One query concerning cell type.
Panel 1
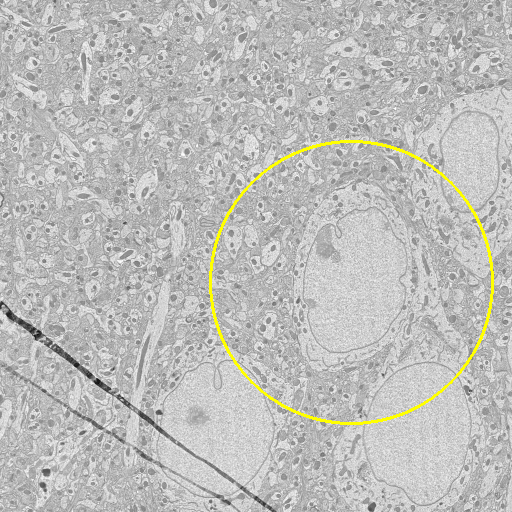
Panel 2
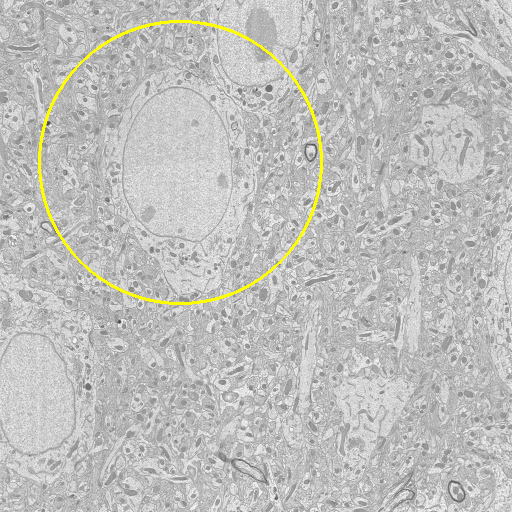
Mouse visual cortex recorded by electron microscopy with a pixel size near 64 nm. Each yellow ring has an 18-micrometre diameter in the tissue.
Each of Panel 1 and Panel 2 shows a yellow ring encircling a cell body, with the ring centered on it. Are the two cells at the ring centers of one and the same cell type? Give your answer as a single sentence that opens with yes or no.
Yes, the cell centered in Panel 1 and the one in Panel 2 share a type.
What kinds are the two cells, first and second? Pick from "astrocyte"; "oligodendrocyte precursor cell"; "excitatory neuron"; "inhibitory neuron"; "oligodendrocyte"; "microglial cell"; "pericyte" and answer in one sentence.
Each of the two cells is an excitatory neuron.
